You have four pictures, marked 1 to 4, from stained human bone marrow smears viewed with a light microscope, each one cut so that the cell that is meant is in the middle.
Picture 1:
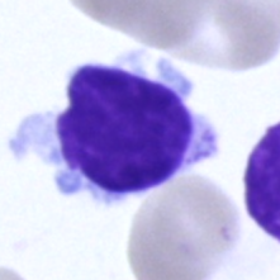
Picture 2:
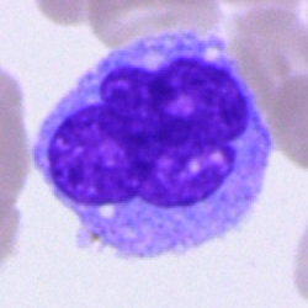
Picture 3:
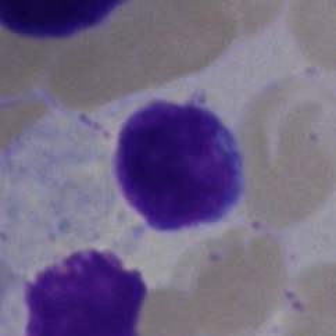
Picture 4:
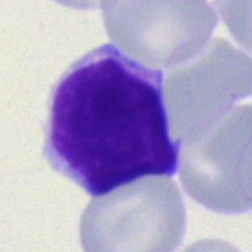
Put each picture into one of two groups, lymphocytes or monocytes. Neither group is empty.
1: lymphocyte
2: monocyte
3: lymphocyte
4: lymphocyte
